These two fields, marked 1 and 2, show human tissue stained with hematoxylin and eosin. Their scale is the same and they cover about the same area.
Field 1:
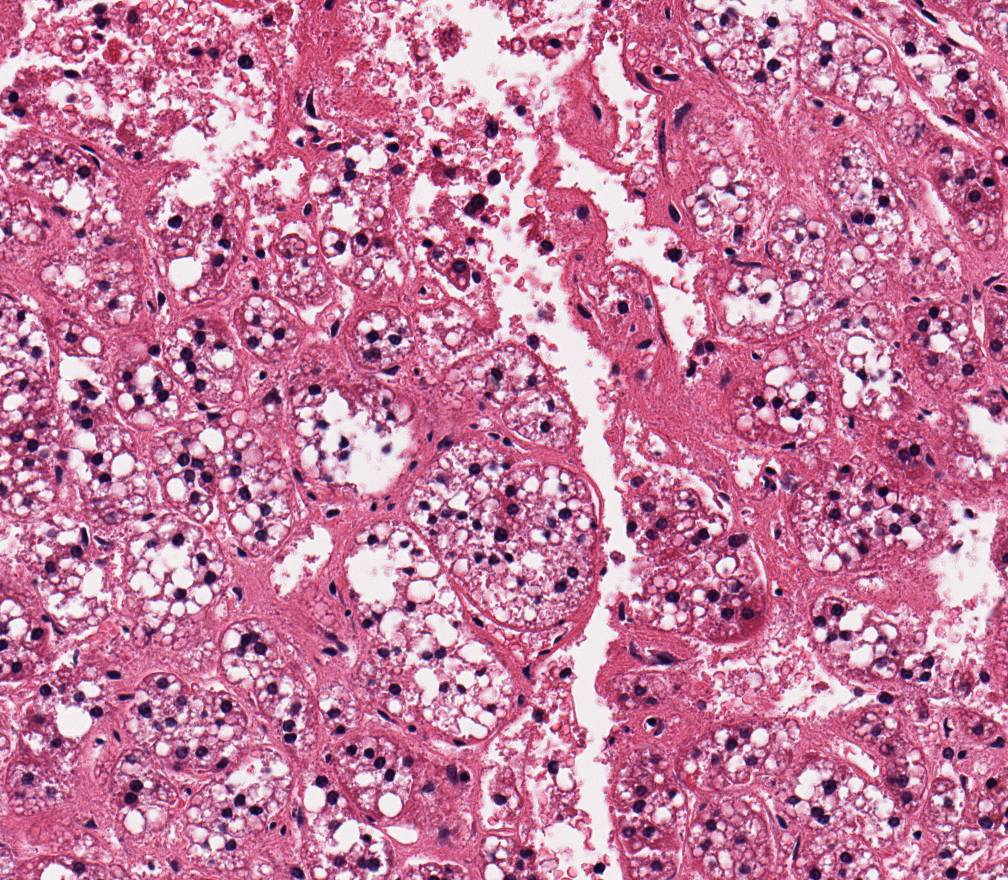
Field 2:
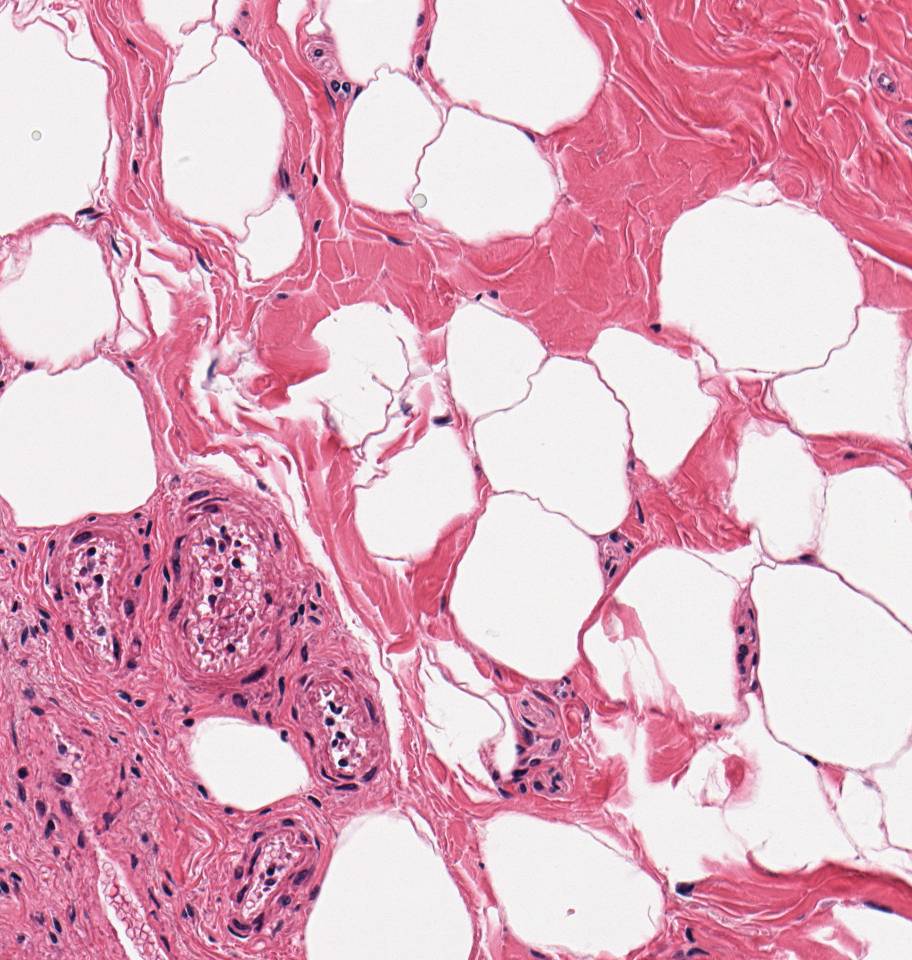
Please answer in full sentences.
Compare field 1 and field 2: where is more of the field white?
More of field 2 is empty and white.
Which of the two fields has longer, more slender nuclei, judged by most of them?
Longer, more slender nuclei lie in field 2.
